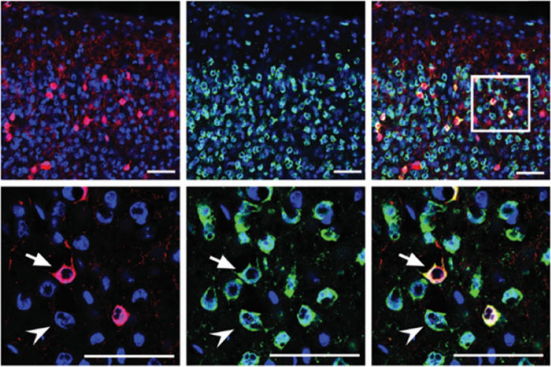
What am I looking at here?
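Cortical tissue densely packed with rounded cell bodies outlined in green, each surrounding a round blue nucleus. Scattered among them are a number of red cell bodies, some with short processes. In the enlarged view, one large rounded cell body is both red and green, appearing yellow-orange, while another green cell body beside it has no red. The size and shape of these large rounded somata with round nuclei fit cortical neurons. Thus some neurons, but not most, carry the red label.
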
